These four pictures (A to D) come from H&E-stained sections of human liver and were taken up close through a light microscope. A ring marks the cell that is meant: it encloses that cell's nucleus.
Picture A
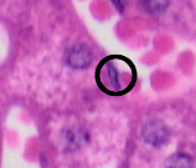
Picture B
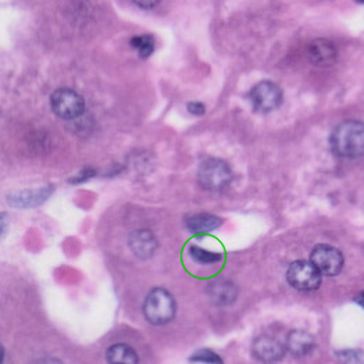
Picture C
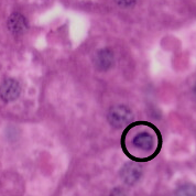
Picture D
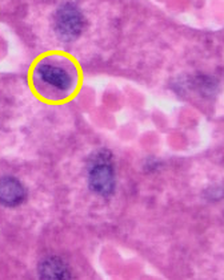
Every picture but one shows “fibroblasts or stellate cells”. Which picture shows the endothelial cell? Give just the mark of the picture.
A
